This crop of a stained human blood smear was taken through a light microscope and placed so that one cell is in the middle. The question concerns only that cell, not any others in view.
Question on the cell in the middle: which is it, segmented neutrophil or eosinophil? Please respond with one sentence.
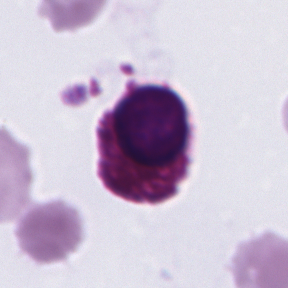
The crop shows an eosinophil in its centre.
